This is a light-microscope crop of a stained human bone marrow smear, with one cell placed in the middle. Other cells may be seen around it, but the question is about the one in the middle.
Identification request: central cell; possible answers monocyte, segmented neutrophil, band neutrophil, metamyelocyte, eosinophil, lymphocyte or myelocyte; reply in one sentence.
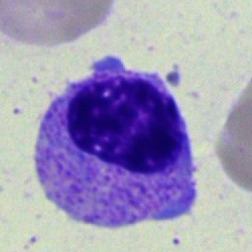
The identification for the central cell is a myelocyte.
